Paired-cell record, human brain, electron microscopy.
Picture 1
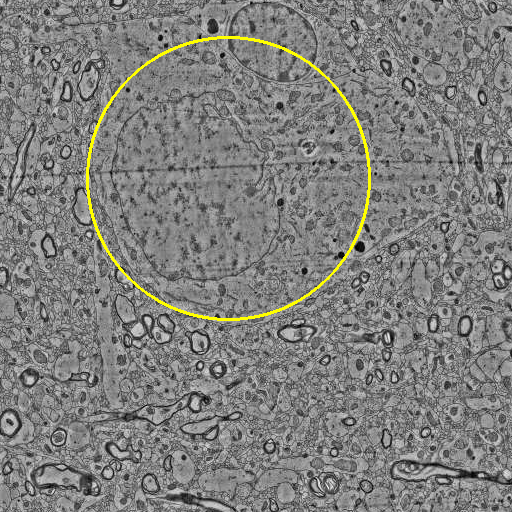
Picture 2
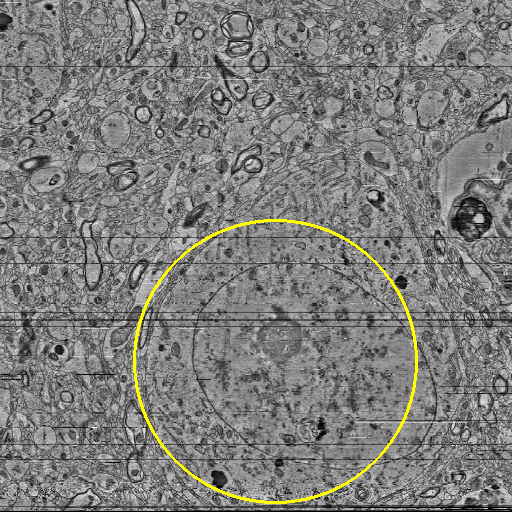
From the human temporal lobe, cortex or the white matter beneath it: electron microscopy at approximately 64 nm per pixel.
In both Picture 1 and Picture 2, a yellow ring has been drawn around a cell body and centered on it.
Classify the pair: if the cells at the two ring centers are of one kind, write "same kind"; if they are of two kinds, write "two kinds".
same kind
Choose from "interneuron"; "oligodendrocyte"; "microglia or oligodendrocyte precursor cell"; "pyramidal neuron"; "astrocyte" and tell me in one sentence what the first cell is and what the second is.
Each of the two pictures has a pyramidal neuron at the ring centre.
